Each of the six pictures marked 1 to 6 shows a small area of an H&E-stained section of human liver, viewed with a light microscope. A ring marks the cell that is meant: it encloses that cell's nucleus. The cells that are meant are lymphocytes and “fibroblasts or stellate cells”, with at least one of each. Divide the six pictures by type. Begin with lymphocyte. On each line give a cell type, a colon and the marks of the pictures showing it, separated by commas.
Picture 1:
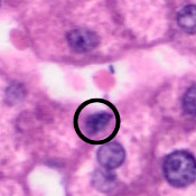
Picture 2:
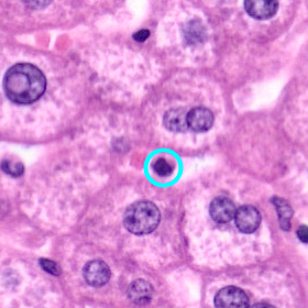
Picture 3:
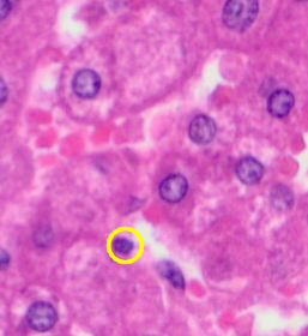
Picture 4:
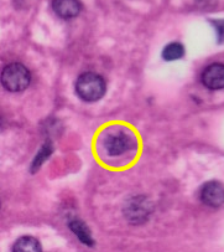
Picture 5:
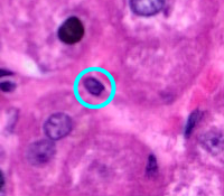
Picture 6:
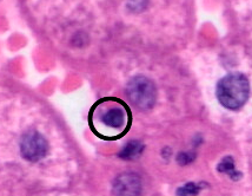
lymphocyte: 2, 3, 5, 6
fibroblast or stellate cell: 1, 4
